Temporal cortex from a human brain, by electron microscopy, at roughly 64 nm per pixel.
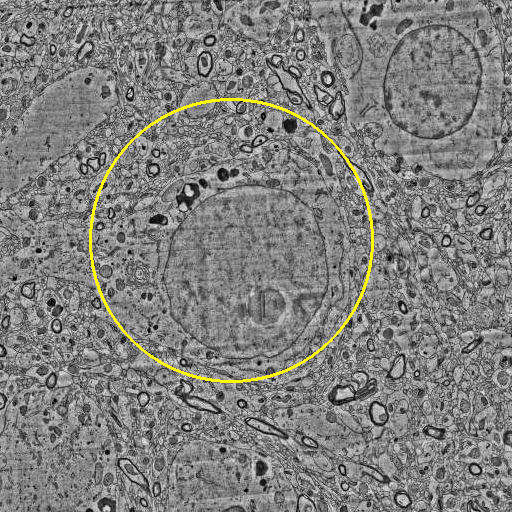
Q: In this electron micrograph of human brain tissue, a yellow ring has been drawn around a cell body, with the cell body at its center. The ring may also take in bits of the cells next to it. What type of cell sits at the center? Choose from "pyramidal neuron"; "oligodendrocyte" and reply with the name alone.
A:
pyramidal neuron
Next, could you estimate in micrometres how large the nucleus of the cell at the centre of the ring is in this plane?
In this plane, roughly 11 micrometres across.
